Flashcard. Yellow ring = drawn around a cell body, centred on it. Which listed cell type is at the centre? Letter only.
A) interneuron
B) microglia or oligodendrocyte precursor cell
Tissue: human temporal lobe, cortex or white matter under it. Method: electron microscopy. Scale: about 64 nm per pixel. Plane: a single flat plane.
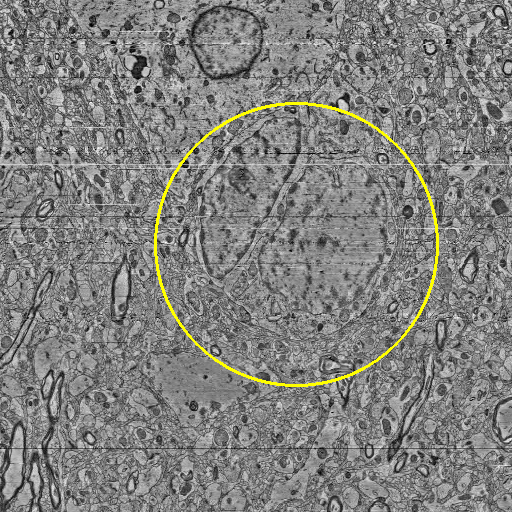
A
